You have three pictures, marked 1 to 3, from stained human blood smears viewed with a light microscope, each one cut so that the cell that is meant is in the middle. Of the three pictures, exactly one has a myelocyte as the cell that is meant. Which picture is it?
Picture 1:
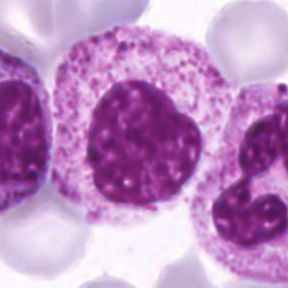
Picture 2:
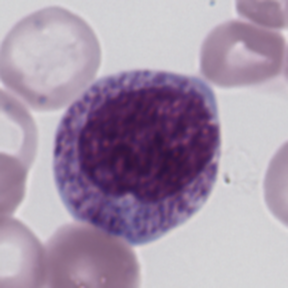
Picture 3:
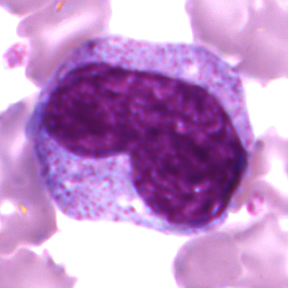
1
